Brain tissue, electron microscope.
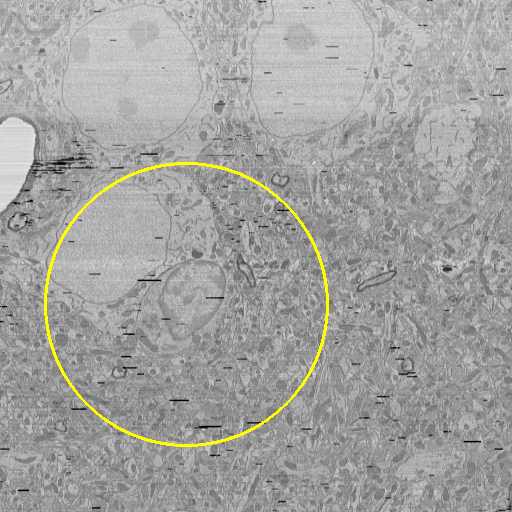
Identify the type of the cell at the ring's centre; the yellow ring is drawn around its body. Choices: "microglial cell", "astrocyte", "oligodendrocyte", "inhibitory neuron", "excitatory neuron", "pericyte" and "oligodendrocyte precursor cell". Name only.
oligodendrocyte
